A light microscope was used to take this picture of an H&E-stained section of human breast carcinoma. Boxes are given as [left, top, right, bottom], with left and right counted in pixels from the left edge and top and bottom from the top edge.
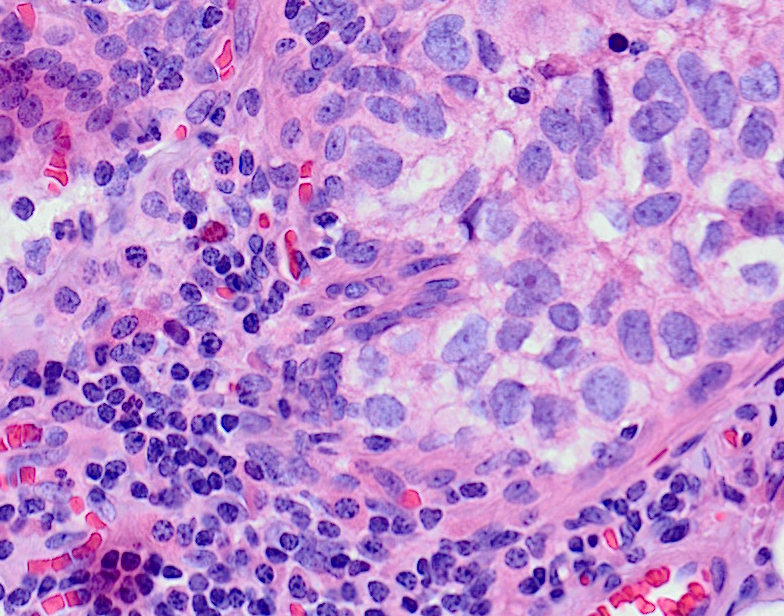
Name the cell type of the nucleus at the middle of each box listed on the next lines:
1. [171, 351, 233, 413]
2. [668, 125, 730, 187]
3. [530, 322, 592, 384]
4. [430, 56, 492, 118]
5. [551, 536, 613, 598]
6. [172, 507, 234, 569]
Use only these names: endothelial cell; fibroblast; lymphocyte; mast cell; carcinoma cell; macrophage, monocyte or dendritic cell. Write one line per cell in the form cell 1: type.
cell 1: lymphocyte
cell 2: carcinoma cell
cell 3: carcinoma cell
cell 4: carcinoma cell
cell 5: lymphocyte
cell 6: lymphocyte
